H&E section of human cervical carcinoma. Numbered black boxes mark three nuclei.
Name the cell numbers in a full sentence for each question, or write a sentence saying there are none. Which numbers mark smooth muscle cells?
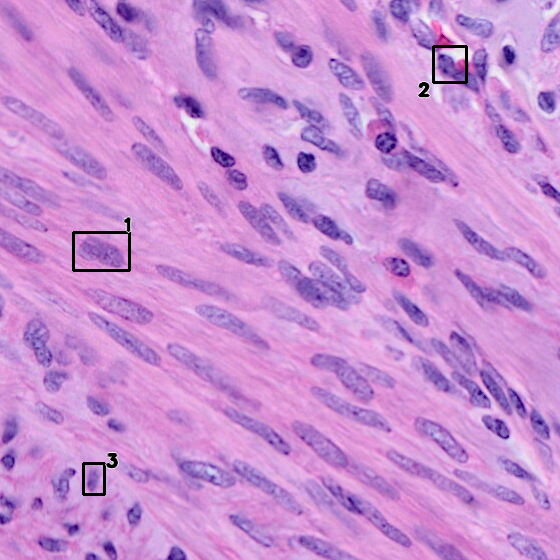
Within this tissue, the cells numbered 1 and 3 are smooth muscle cells.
